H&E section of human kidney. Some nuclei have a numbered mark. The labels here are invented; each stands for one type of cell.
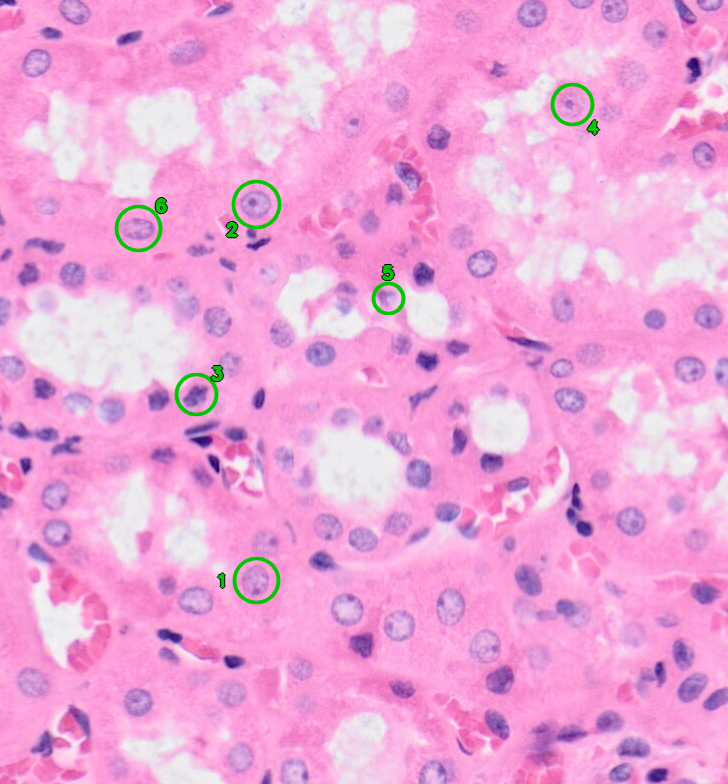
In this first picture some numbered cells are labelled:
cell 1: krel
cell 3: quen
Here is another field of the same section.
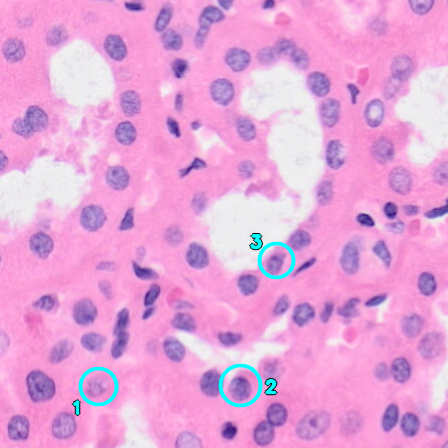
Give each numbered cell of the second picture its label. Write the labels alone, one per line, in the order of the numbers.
krel
quen
quen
